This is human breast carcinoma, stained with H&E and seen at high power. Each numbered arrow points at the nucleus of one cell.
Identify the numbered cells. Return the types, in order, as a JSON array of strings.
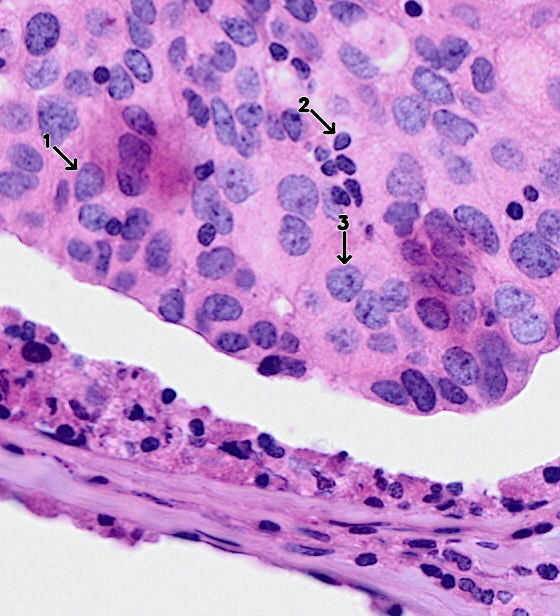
["carcinoma cell", "lymphocyte", "carcinoma cell"]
